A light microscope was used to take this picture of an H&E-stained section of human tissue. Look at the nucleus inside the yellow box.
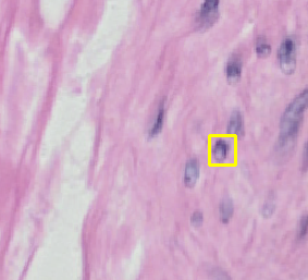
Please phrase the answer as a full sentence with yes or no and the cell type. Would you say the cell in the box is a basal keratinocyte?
No, the cell in the box counts as an endothelial cell rather than as a basal keratinocyte.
